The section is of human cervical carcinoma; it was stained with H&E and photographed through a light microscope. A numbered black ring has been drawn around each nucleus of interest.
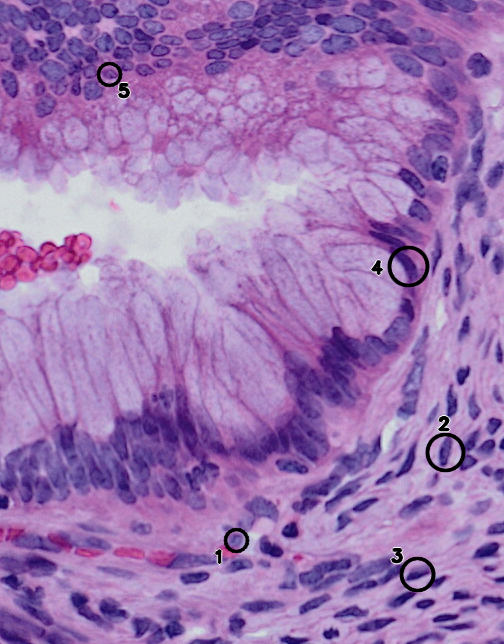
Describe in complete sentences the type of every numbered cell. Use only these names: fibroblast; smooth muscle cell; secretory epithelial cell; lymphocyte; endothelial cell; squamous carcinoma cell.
Cell 1 is an endothelial cell, cell 2 is a fibroblast, cell 3 is a fibroblast, cell 4 is a secretory epithelial cell and cell 5 is a secretory epithelial cell.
